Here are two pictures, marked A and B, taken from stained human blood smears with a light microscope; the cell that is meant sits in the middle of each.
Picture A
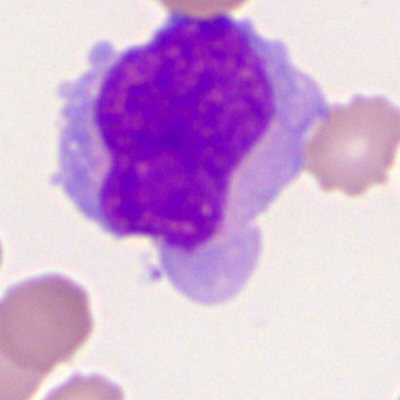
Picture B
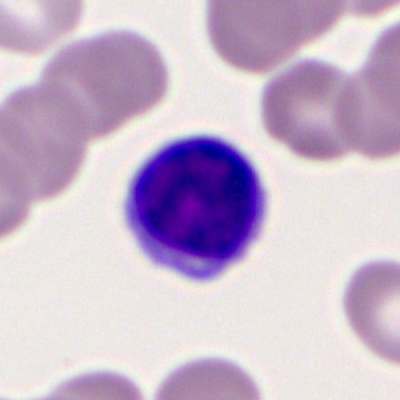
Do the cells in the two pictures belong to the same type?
no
